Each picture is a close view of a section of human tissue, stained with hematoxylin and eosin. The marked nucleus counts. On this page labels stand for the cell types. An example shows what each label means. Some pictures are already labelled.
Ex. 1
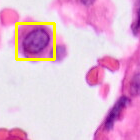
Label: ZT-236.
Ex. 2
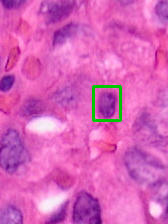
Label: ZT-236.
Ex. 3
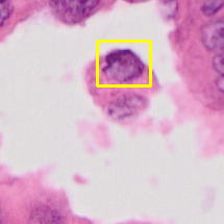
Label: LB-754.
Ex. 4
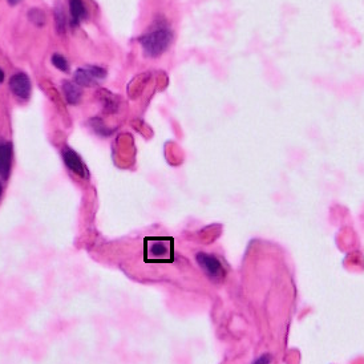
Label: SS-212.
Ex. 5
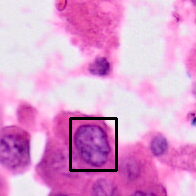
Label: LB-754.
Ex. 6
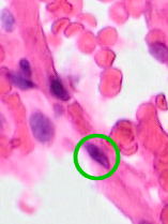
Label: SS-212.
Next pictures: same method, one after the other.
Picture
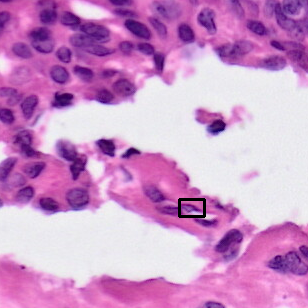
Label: SS-212.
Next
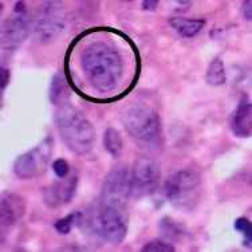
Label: LB-754.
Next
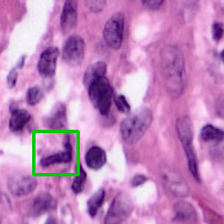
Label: ZT-236.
